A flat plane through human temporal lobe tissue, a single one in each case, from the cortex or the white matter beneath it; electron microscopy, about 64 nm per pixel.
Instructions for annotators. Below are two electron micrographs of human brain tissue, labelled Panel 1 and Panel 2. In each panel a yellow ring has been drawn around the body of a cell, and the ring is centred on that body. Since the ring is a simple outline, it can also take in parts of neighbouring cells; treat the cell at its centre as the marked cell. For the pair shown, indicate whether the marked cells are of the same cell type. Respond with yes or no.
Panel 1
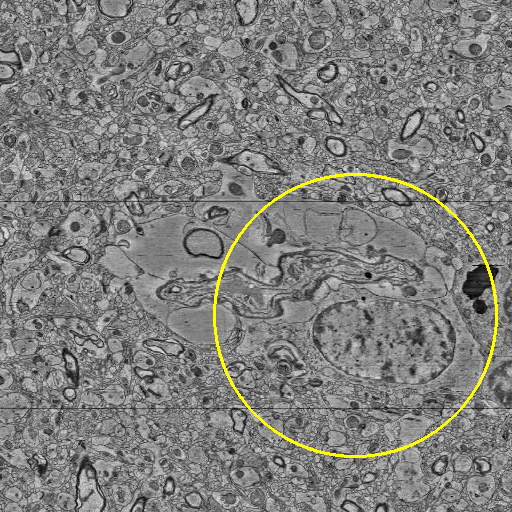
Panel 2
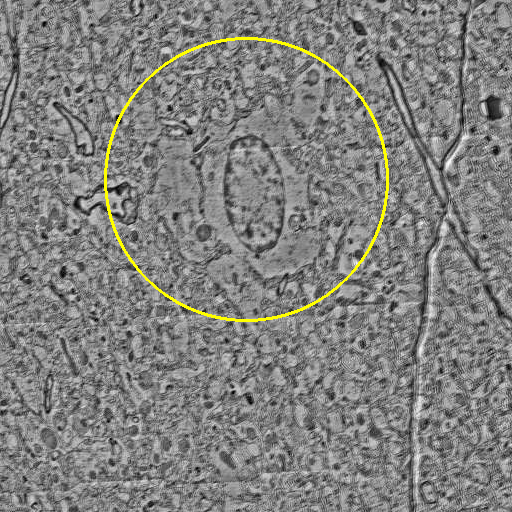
no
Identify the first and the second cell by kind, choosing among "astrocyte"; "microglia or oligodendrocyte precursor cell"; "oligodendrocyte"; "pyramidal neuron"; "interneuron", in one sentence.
The one in the first picture is a microglial cell or oligodendrocyte precursor cell, while the one in the second is an astrocyte.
